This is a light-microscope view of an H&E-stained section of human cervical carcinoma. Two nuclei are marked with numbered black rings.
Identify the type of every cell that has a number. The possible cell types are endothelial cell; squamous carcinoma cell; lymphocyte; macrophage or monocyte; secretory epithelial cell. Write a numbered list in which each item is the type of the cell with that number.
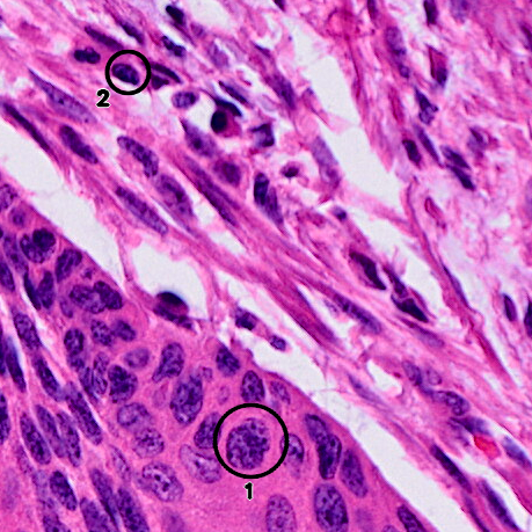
1. squamous carcinoma cell
2. lymphocyte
